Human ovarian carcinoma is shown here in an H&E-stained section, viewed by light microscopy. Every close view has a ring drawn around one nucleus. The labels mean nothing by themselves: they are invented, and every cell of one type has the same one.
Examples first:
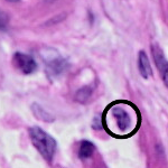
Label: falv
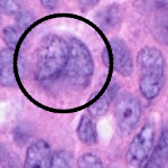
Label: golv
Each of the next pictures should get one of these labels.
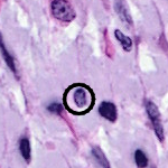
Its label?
falv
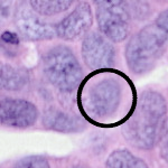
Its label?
golv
